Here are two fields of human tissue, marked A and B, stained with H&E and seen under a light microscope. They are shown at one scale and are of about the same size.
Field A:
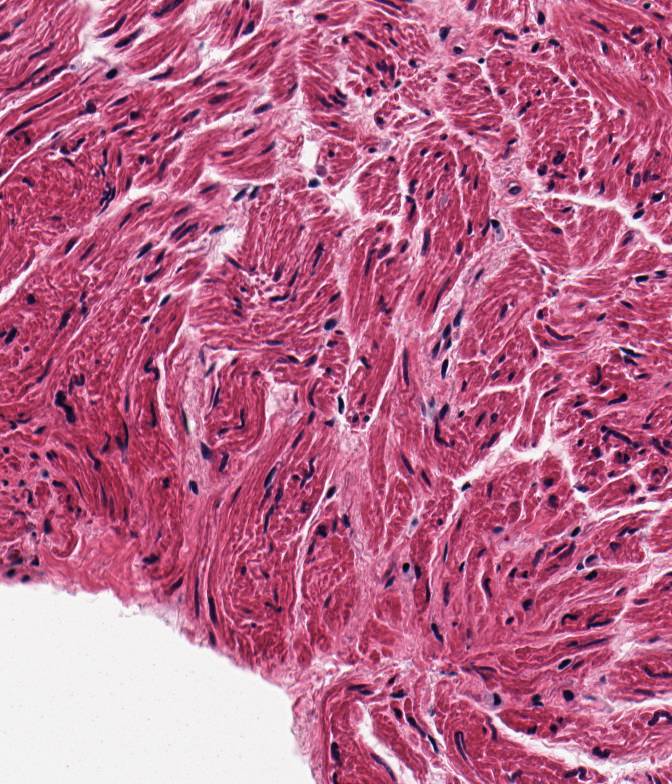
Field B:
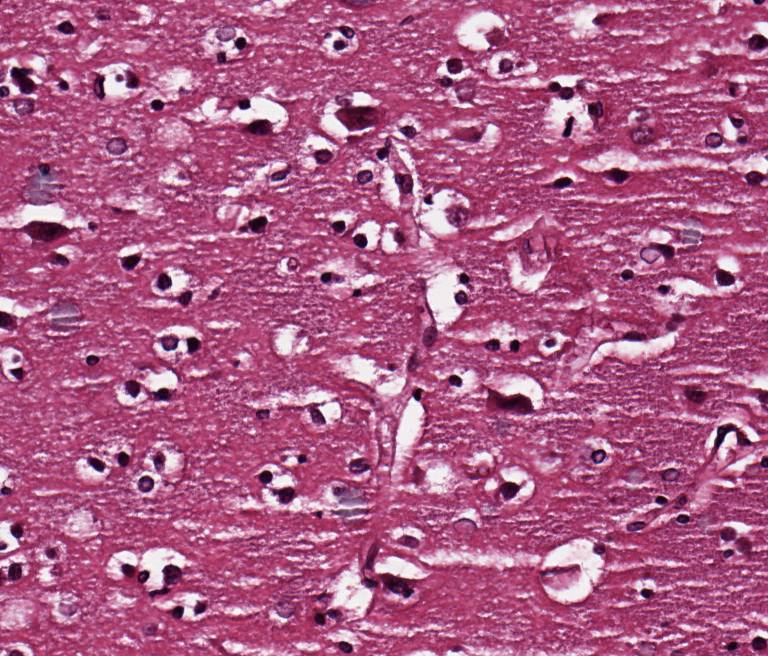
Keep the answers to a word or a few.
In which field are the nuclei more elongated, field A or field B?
A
